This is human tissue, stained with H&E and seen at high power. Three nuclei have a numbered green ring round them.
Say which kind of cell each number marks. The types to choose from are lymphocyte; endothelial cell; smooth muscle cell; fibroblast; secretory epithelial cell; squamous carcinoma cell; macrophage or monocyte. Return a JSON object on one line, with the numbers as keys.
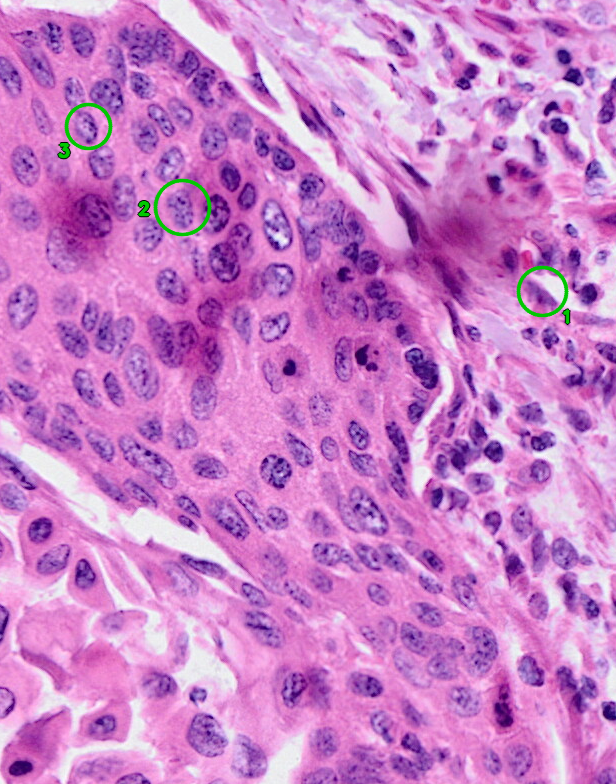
{"1": "endothelial cell", "2": "squamous carcinoma cell", "3": "squamous carcinoma cell"}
